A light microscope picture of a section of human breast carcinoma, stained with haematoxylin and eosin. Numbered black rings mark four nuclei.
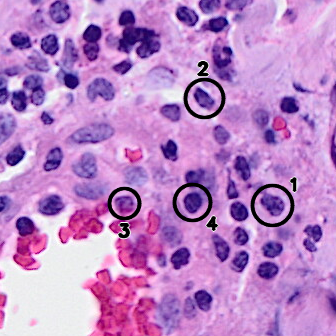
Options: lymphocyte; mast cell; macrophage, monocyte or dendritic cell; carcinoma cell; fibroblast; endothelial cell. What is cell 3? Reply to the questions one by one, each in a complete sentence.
Marked with the number 3, this cell is an endothelial cell.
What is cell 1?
The cell marked with the number 1 is a lymphocyte.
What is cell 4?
The cell marked with number 4 is a lymphocyte.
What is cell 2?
The cell identified by the number 2 is a lymphocyte.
